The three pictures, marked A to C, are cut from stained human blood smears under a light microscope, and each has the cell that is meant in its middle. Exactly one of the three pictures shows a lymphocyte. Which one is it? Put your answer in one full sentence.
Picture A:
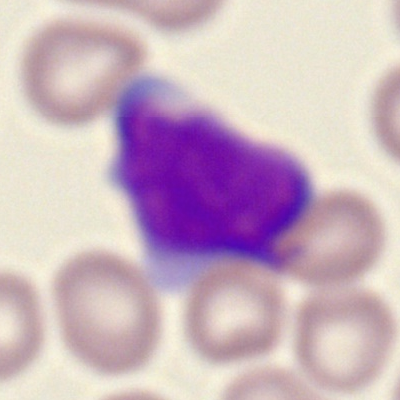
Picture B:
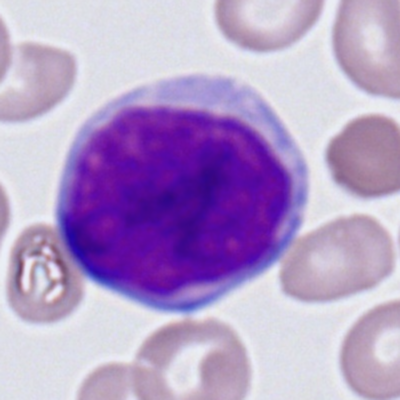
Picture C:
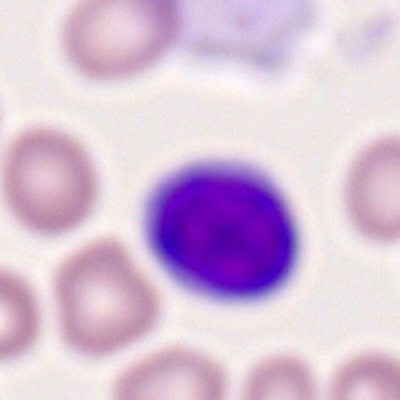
The lymphocyte is the one in picture C.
